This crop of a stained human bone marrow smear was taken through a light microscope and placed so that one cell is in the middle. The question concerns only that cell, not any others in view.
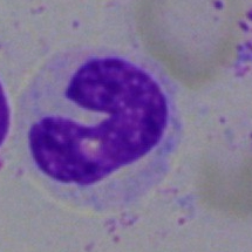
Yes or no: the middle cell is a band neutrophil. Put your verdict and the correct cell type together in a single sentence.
No, the middle of the crop holds a segmented neutrophil, not a band neutrophil.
